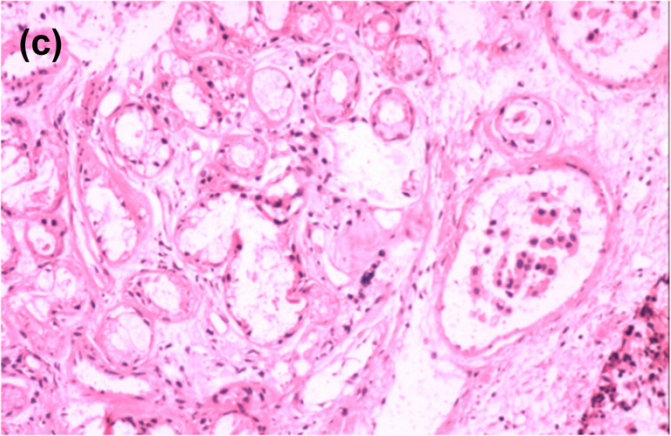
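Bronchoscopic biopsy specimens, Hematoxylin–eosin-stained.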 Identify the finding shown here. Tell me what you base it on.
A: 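Many rounded gland-like structures with pale contents crowd the tissue. Thin pink fibrous septa separate the glandular structures. So: infiltrating adenocarcinoma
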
